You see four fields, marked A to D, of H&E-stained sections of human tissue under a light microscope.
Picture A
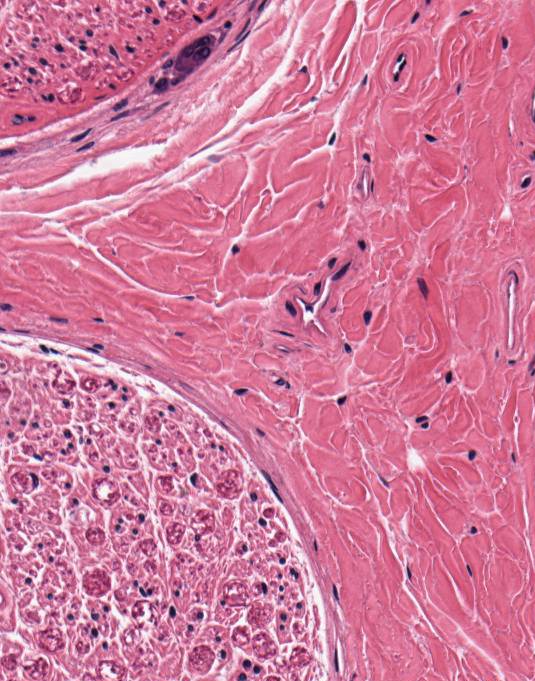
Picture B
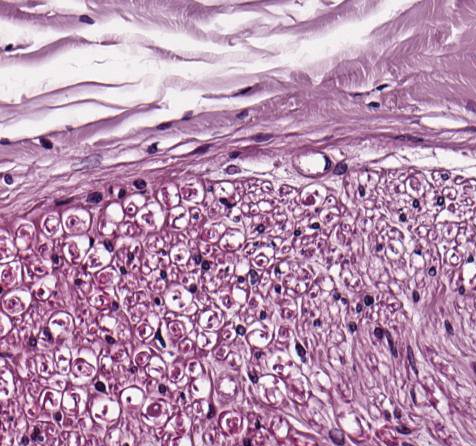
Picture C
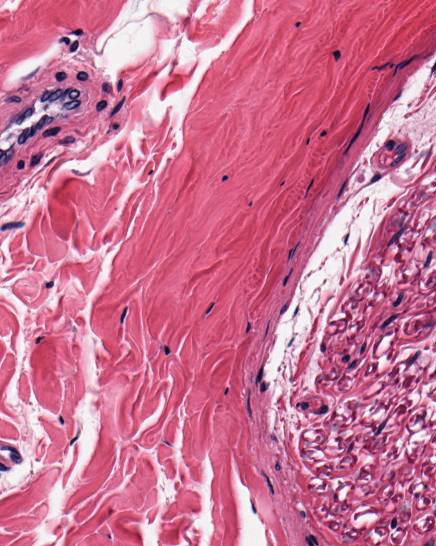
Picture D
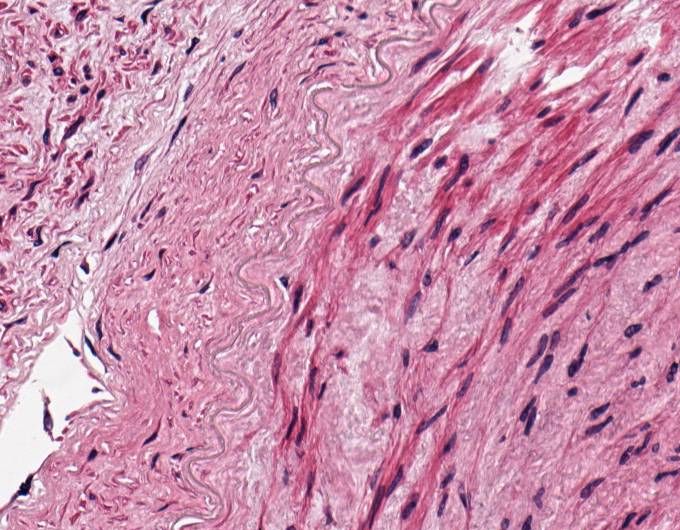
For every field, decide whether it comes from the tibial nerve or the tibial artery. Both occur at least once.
A: tibial nerve
B: tibial nerve
C: tibial nerve
D: tibial artery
